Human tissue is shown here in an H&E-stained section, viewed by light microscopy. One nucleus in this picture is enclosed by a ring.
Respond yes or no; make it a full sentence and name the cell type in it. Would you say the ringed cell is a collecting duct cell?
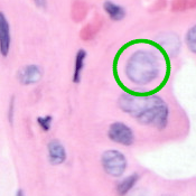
Yes, as far as cell type goes, the ringed cell is a collecting duct cell.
